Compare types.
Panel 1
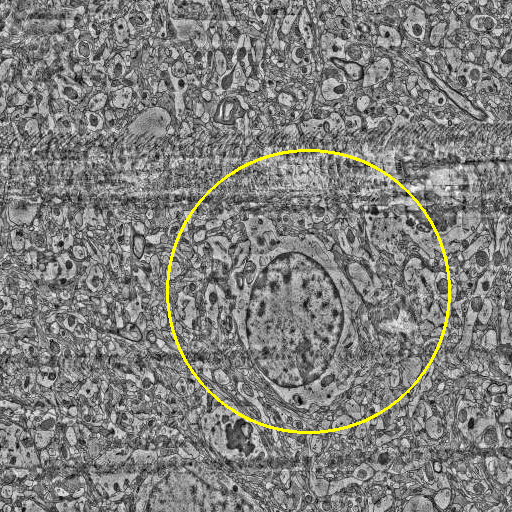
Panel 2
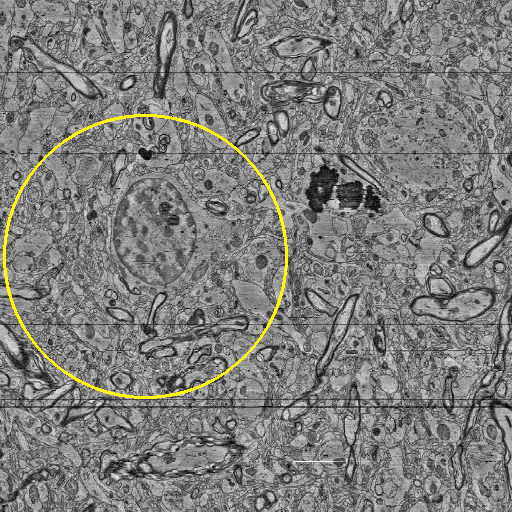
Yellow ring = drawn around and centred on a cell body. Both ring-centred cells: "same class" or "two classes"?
two classes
